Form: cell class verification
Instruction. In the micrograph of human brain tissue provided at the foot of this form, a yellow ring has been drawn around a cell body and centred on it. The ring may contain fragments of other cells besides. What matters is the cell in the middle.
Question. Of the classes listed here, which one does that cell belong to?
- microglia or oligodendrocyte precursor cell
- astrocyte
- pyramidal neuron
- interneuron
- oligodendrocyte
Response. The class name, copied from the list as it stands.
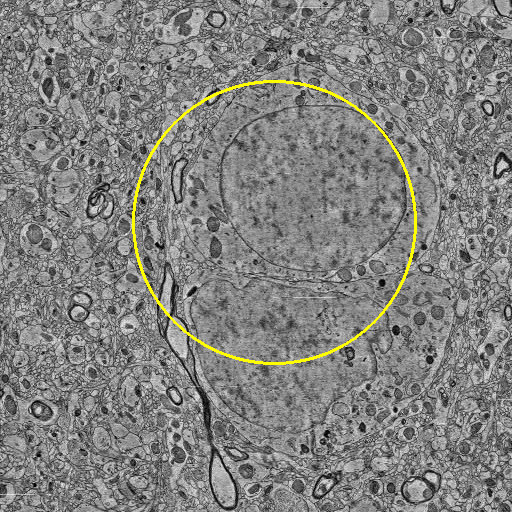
pyramidal neuron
